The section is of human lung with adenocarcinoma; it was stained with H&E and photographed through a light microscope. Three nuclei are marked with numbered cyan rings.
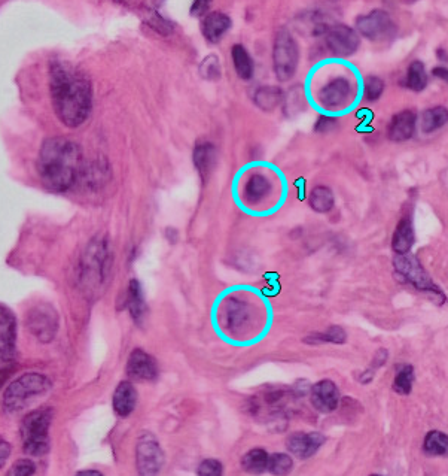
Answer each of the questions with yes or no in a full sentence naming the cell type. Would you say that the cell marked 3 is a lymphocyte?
No, it is not a lymphocyte that bears number 3 but a macrophage or monocyte.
